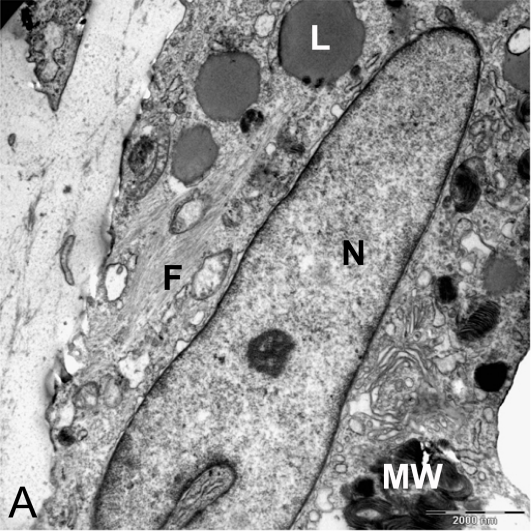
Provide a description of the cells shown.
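In the cytoplasm above it sit several round, evenly grey lipid droplets, and to its left runs a band of fine wavy fibrils. Below and right of the nucleus are stacked membrane profiles and dark, layered membranous bodies. Extracellular matrix appears as a pale fibrous zone at the left edge.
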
